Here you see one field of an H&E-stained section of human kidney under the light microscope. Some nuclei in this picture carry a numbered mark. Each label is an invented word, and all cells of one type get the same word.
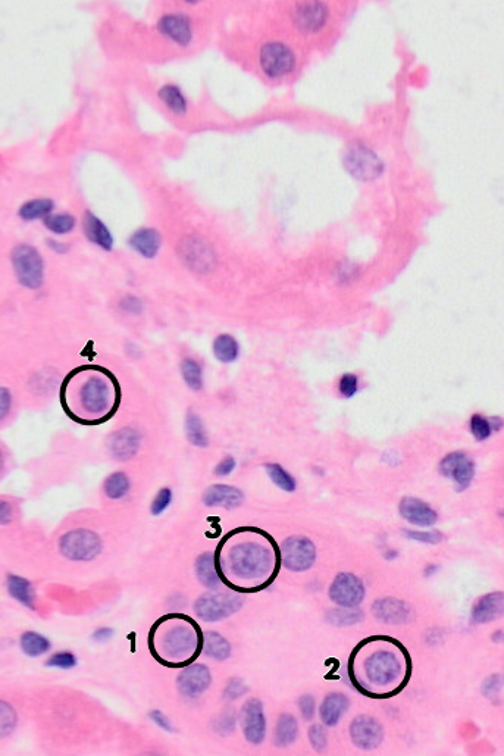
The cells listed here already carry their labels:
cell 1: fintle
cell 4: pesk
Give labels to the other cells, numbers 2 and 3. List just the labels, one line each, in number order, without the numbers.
fintle
fintle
